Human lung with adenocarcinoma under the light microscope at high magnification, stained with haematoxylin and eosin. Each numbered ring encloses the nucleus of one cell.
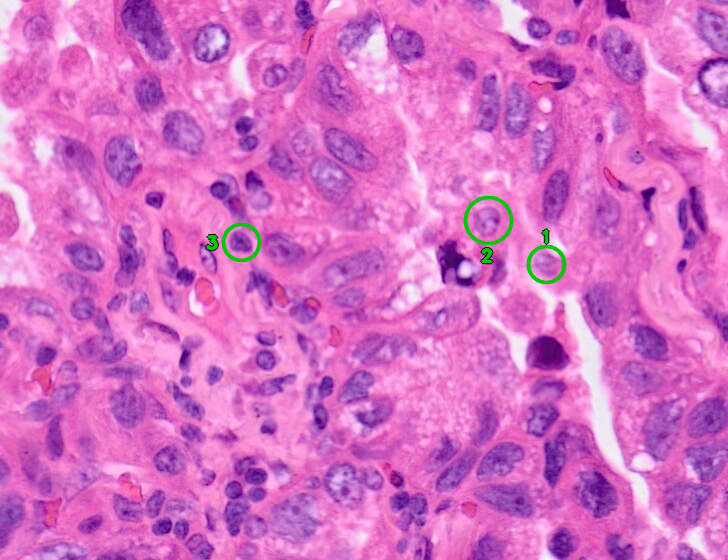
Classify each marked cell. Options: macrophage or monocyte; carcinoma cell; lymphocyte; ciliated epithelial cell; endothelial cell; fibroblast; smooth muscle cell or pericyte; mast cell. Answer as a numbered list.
1. macrophage or monocyte
2. macrophage or monocyte
3. lymphocyte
